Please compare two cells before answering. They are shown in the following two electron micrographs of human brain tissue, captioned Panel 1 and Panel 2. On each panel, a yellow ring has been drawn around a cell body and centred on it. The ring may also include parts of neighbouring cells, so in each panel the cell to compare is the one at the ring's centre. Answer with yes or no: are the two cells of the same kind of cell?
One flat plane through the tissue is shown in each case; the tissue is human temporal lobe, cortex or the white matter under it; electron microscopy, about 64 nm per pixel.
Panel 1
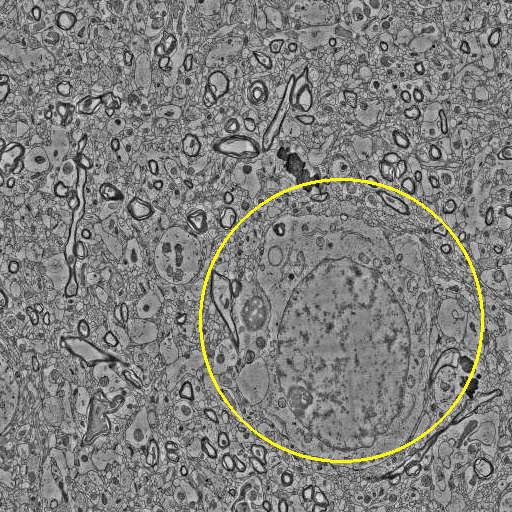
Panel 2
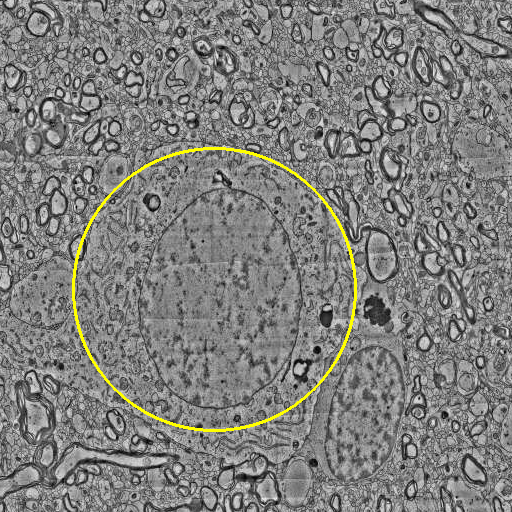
no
